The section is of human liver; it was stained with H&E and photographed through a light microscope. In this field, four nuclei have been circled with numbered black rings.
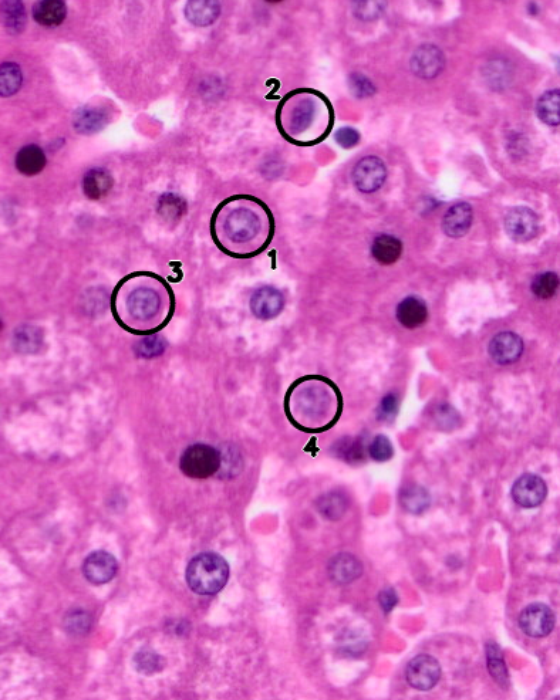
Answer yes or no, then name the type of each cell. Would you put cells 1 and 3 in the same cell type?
Yes, that is correct, cells 1 and 3 are both hepatocytes.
